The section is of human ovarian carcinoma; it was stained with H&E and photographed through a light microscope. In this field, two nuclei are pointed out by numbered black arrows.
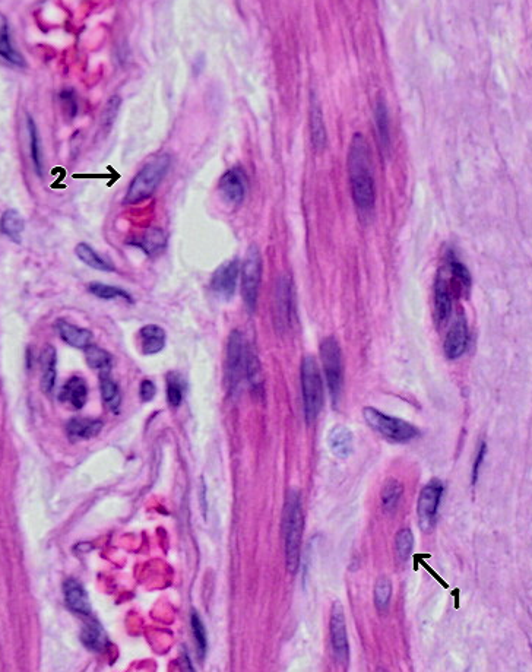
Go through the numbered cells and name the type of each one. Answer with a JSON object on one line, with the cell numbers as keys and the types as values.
{"1": "smooth muscle cell", "2": "endothelial cell"}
